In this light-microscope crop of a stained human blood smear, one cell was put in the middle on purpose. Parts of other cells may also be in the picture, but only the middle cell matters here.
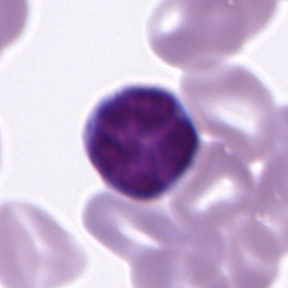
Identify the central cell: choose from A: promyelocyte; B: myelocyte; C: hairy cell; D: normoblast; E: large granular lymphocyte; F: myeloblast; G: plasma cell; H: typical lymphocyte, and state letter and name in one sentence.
The cell centered in the crop is a typical lymphocyte, making option H the correct pick.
